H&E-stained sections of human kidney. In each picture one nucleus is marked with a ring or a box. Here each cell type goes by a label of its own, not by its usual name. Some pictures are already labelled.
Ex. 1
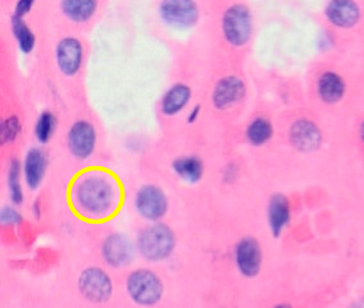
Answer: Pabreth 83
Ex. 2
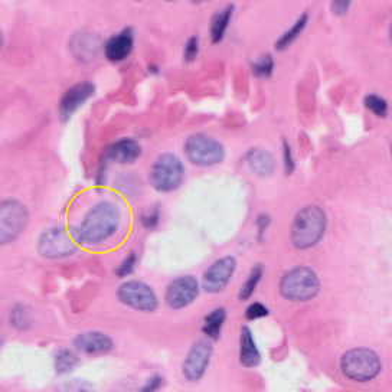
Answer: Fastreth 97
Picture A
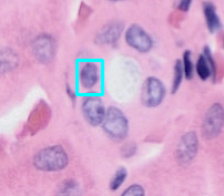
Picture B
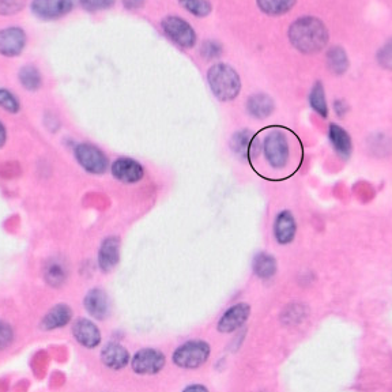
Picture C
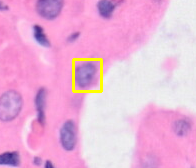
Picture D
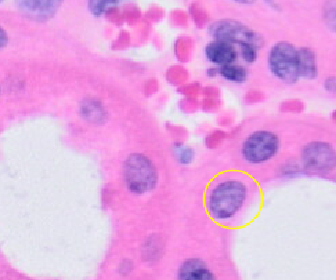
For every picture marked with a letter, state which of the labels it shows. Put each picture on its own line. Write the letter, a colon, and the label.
A: Fastreth 97
B: Fastreth 97
C: Pabreth 83
D: Pabreth 83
